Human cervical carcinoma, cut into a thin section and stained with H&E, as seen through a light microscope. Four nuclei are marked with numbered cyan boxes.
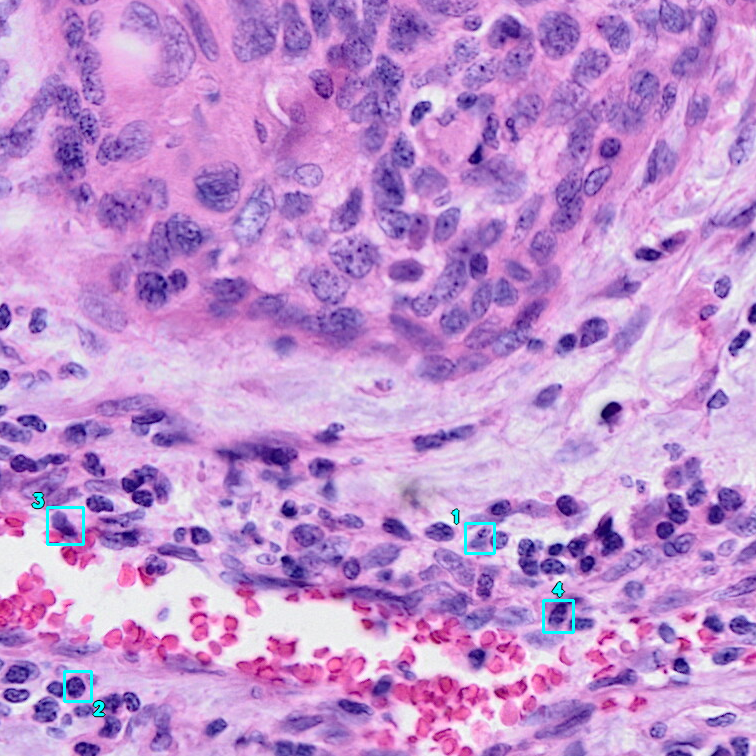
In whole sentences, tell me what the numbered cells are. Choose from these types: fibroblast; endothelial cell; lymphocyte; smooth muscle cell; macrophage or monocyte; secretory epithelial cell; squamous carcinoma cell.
Cells 1, 2 and 4 are lymphocytes. Cell 3 is an endothelial cell.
